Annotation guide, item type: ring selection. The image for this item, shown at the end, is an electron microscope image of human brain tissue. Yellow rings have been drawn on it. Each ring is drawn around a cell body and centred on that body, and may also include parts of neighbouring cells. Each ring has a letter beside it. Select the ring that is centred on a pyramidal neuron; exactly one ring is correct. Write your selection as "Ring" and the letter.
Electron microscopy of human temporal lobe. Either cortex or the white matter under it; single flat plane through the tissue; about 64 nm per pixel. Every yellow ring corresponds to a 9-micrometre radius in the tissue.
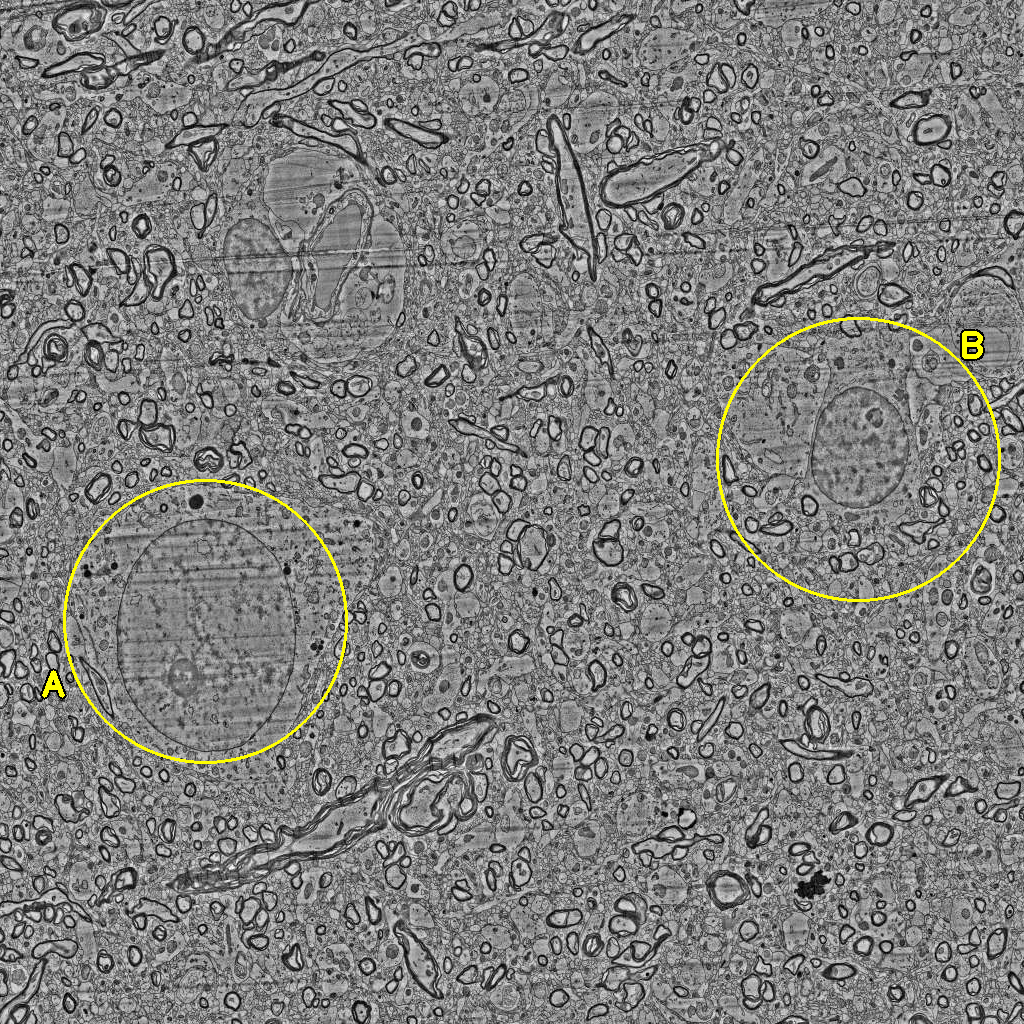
Ring A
